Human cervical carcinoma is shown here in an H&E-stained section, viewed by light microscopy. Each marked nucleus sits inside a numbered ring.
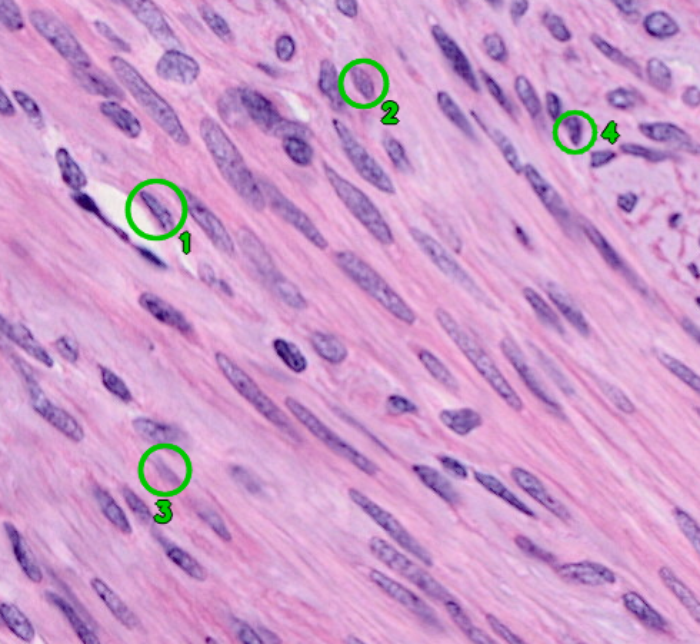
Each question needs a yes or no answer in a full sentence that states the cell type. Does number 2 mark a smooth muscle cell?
Yes, of the numbered cells, number 2 is a smooth muscle cell.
